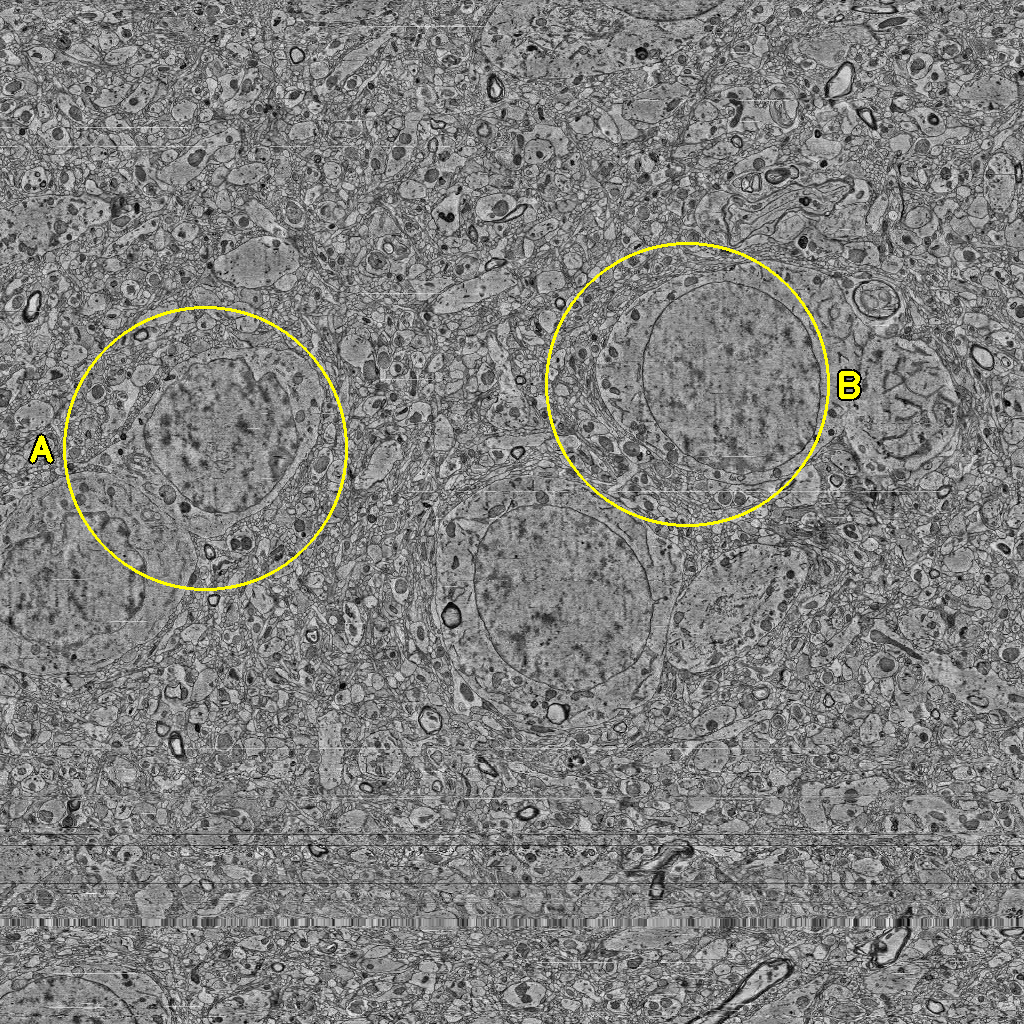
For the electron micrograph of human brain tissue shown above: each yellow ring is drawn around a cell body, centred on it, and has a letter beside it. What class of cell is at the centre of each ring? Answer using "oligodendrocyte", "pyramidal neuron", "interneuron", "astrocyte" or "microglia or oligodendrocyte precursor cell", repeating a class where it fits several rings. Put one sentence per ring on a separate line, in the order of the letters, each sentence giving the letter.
At ring A, the central cell is an interneuron.
At ring B, the central cell is a pyramidal neuron.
